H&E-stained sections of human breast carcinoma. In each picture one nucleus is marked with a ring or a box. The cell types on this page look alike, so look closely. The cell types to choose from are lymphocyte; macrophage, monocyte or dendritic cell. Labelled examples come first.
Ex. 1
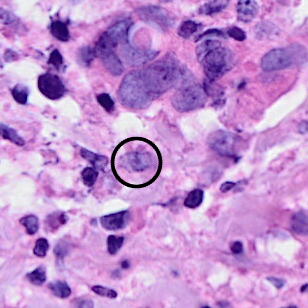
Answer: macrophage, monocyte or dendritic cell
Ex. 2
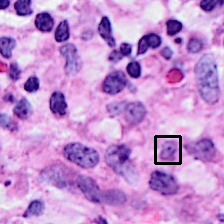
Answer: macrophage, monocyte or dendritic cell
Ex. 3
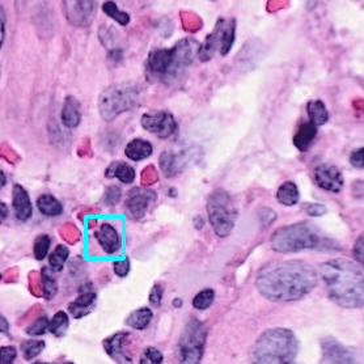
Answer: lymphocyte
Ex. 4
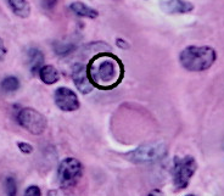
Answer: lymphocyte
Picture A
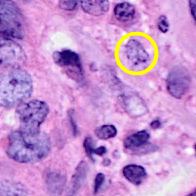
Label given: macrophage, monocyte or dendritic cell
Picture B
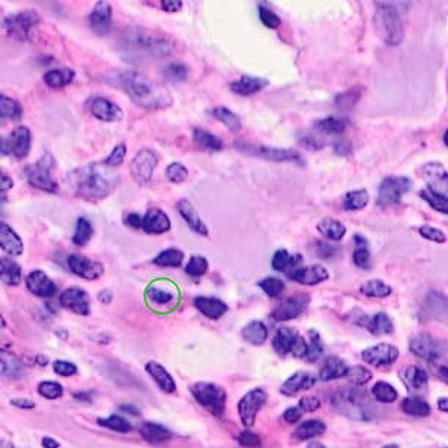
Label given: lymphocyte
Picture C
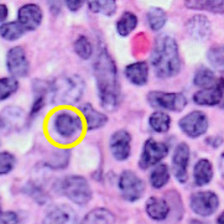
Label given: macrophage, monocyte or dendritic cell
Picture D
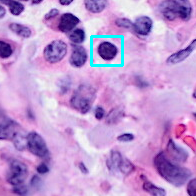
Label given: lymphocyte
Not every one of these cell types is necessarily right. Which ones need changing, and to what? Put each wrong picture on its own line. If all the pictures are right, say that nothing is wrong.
C: change macrophage, monocyte or dendritic cell to lymphocyte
